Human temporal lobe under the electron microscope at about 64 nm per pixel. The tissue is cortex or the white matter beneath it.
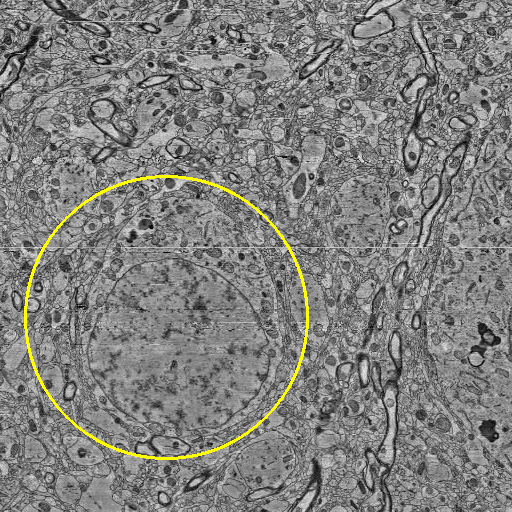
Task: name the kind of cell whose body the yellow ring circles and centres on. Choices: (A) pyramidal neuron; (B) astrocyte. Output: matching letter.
A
